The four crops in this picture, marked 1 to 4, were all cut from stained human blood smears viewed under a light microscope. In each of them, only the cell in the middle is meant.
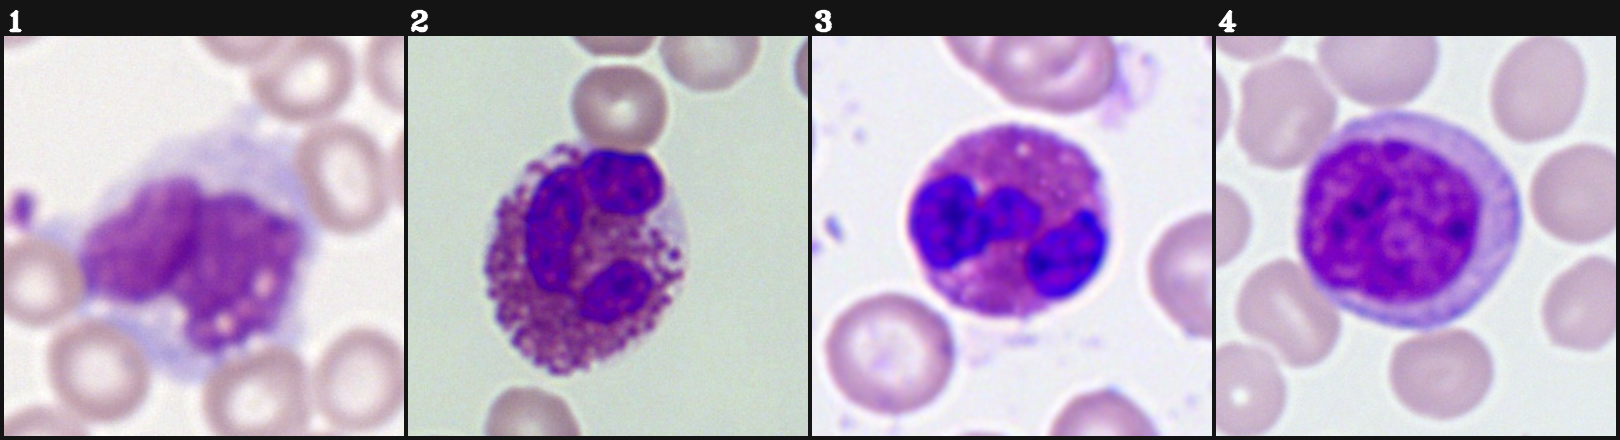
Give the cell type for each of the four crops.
1: monocyte
2: eosinophil
3: eosinophil
4: monocyte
